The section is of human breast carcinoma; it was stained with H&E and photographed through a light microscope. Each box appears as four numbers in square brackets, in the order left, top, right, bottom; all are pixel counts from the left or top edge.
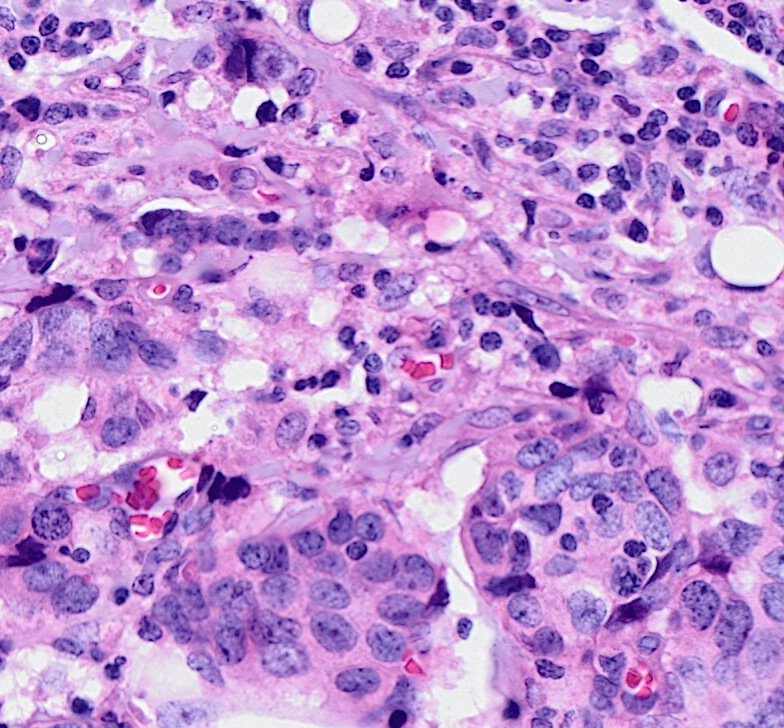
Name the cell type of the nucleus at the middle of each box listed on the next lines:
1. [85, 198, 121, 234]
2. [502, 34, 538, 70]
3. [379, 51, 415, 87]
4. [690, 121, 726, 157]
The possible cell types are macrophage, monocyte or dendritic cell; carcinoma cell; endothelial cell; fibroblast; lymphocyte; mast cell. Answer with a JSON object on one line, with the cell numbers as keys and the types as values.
{"1": "macrophage, monocyte or dendritic cell", "2": "lymphocyte", "3": "lymphocyte", "4": "lymphocyte"}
